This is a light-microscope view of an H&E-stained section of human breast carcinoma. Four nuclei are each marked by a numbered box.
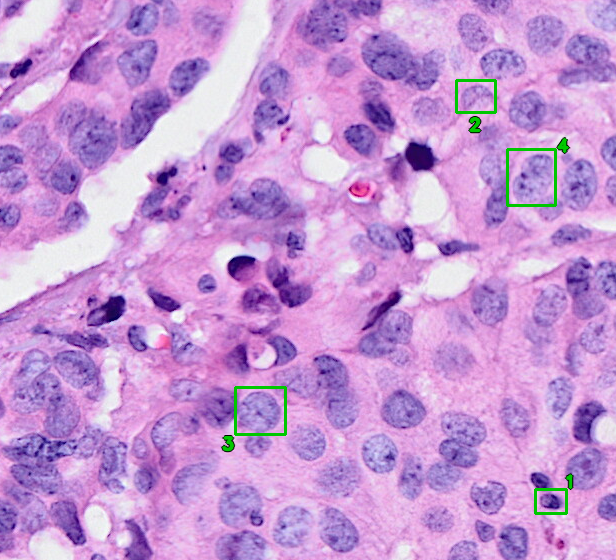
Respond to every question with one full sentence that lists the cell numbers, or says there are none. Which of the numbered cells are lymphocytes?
Among all the marked cells, a lymphocyte is found only at number 1.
